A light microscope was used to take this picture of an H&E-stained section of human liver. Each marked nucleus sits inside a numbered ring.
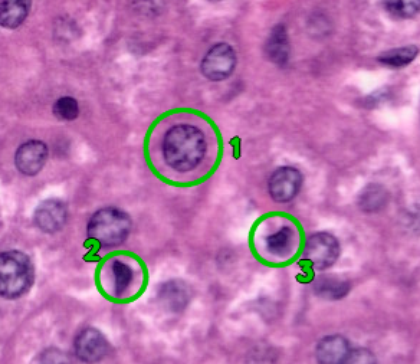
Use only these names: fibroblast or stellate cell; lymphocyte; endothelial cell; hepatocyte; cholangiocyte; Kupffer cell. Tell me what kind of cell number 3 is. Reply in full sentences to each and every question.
Among the marked nuclei, number 3 belongs to a fibroblast or stellate cell.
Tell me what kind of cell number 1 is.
Denoted by the label 1 in the section is a hepatocyte.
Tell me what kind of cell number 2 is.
The numbered cell 2 is identified here as a fibroblast or stellate cell.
